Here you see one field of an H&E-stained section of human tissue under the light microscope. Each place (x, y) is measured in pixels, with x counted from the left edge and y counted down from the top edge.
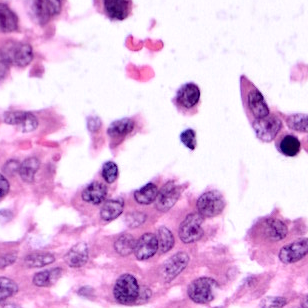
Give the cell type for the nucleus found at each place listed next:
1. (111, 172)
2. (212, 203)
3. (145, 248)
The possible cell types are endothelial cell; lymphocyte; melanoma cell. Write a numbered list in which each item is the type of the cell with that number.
1. lymphocyte
2. melanoma cell
3. melanoma cell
